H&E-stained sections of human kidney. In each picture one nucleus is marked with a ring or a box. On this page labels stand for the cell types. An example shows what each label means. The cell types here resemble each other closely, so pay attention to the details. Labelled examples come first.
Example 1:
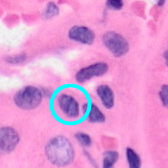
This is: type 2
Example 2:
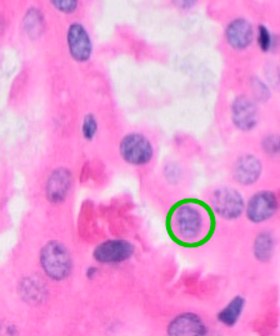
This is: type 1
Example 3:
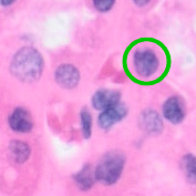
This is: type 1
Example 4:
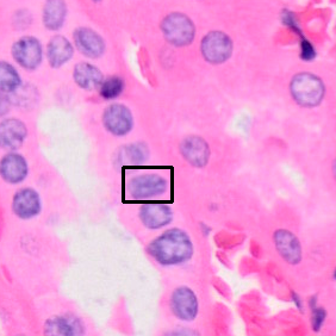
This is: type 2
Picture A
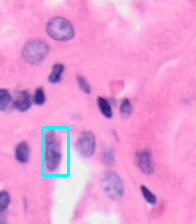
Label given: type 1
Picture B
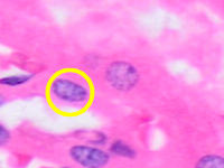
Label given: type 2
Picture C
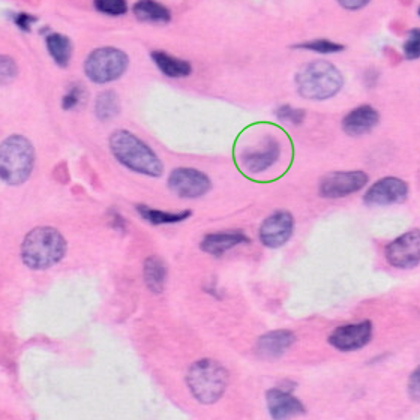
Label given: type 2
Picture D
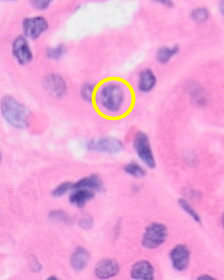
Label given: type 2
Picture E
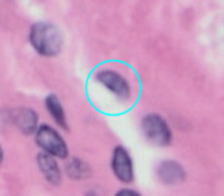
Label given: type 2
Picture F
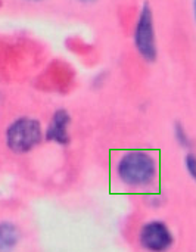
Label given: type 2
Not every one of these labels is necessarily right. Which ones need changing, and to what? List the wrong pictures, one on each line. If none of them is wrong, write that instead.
F: change type 2 to type 1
